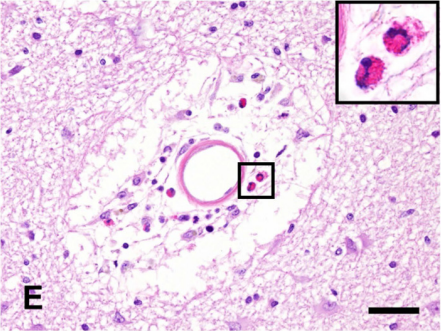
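A small blood vessel with a thick pink wall sits in the middle of a widened, clear space in pale, finely vacuolated white matter. The surrounding tissue holds scattered glial nuclei and is otherwise not destroyed, so this is a perivascular granulocytic infiltrate.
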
